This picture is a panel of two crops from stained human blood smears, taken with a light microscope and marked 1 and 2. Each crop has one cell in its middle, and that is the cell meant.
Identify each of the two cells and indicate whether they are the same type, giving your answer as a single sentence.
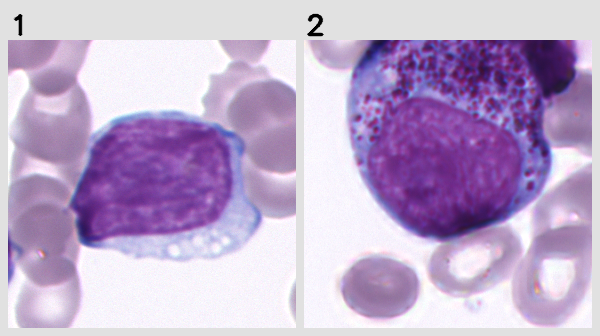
No, crop 1 offers a myeloblast, while crop 2 offers a promyelocyte.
